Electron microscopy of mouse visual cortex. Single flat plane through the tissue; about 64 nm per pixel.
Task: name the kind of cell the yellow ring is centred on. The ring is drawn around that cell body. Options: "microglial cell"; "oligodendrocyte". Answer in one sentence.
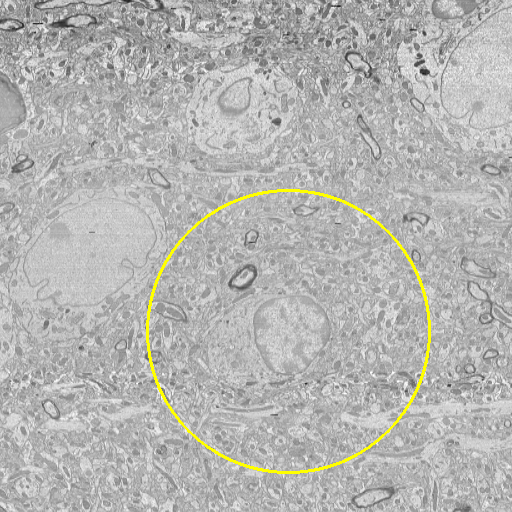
This cell body belongs to an oligodendrocyte.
